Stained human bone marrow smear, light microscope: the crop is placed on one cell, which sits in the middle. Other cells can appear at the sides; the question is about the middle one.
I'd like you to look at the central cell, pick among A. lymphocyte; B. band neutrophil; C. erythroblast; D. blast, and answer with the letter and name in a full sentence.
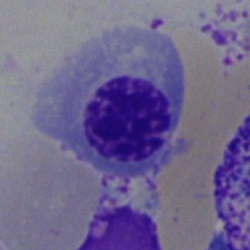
The cell occupying the centre is an erythroblast; option C is thus the correct choice.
